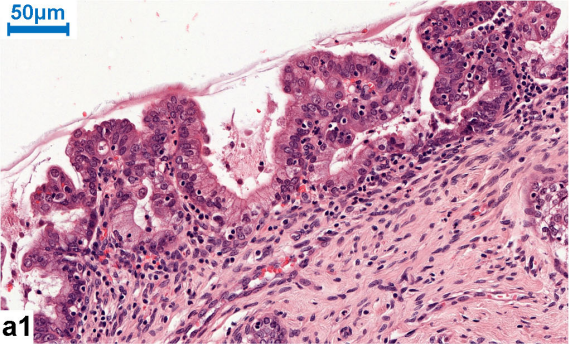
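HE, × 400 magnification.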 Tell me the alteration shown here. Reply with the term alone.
Reactive atypia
